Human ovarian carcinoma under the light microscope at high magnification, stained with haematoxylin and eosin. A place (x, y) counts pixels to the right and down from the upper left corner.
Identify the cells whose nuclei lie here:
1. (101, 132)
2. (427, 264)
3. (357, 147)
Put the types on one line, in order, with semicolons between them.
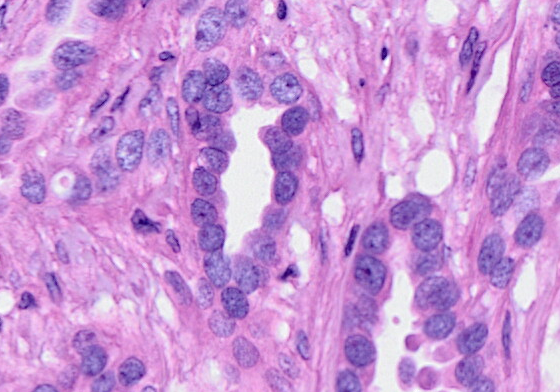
fibroblast; carcinoma cell; fibroblast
